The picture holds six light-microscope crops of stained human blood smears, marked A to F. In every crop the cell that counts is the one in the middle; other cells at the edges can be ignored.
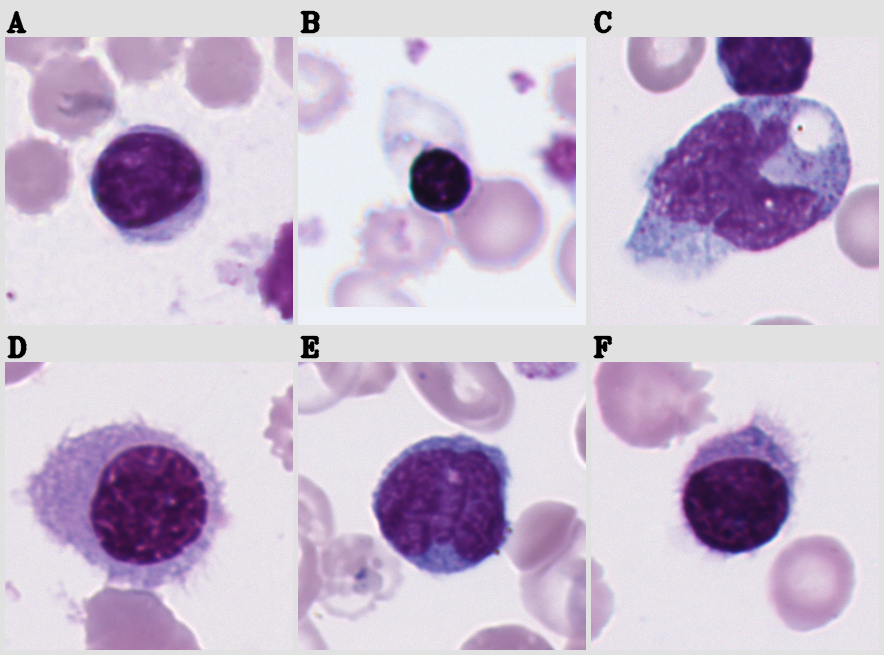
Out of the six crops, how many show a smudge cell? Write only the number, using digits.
0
